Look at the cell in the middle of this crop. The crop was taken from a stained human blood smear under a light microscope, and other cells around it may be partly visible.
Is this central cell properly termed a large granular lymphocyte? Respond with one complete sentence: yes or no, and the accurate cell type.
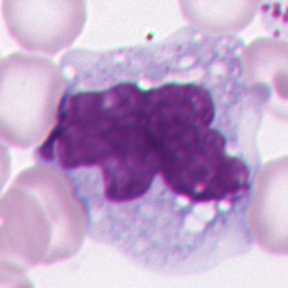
No, what is seen at the centre is a monocyte instead of a large granular lymphocyte.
